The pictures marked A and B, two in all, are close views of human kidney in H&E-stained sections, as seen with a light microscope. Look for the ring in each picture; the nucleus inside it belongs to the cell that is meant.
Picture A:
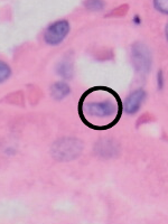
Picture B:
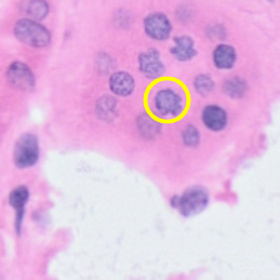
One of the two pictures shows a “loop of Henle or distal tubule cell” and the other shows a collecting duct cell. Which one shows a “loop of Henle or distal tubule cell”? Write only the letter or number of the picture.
B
